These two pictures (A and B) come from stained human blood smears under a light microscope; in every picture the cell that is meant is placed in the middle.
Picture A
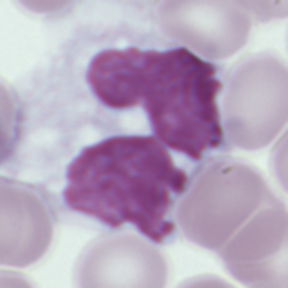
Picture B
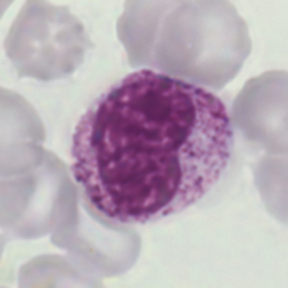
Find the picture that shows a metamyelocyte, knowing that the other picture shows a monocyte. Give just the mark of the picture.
B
